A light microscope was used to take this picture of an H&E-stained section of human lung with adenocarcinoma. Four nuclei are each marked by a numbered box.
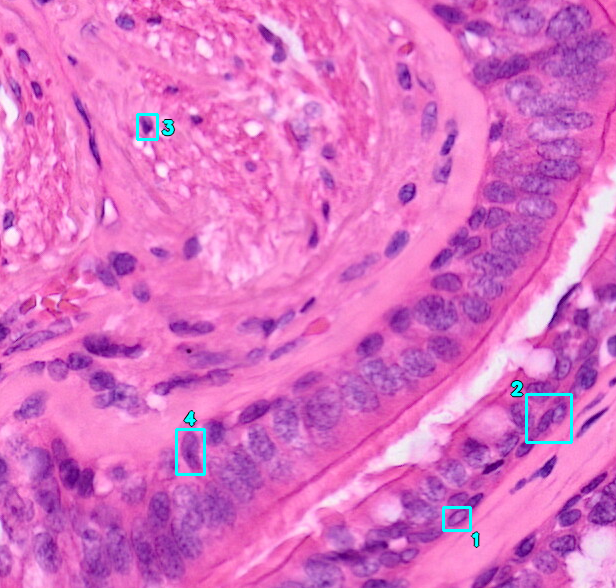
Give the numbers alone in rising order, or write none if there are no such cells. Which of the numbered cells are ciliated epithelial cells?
1, 2, 4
